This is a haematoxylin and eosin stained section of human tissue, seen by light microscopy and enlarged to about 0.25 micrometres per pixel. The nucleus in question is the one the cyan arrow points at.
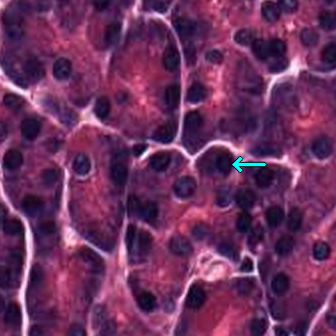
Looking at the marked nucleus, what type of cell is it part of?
pancreatic acinar cell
